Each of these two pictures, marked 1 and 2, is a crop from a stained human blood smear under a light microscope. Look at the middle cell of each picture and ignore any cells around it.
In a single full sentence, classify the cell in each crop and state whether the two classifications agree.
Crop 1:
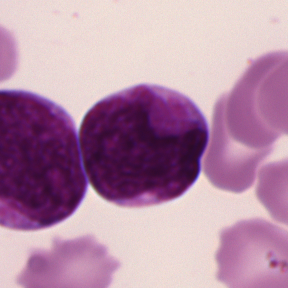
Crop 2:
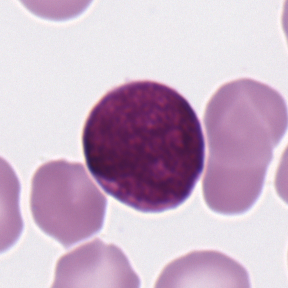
Yes, myeloblasts lie at the centre of both crops.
